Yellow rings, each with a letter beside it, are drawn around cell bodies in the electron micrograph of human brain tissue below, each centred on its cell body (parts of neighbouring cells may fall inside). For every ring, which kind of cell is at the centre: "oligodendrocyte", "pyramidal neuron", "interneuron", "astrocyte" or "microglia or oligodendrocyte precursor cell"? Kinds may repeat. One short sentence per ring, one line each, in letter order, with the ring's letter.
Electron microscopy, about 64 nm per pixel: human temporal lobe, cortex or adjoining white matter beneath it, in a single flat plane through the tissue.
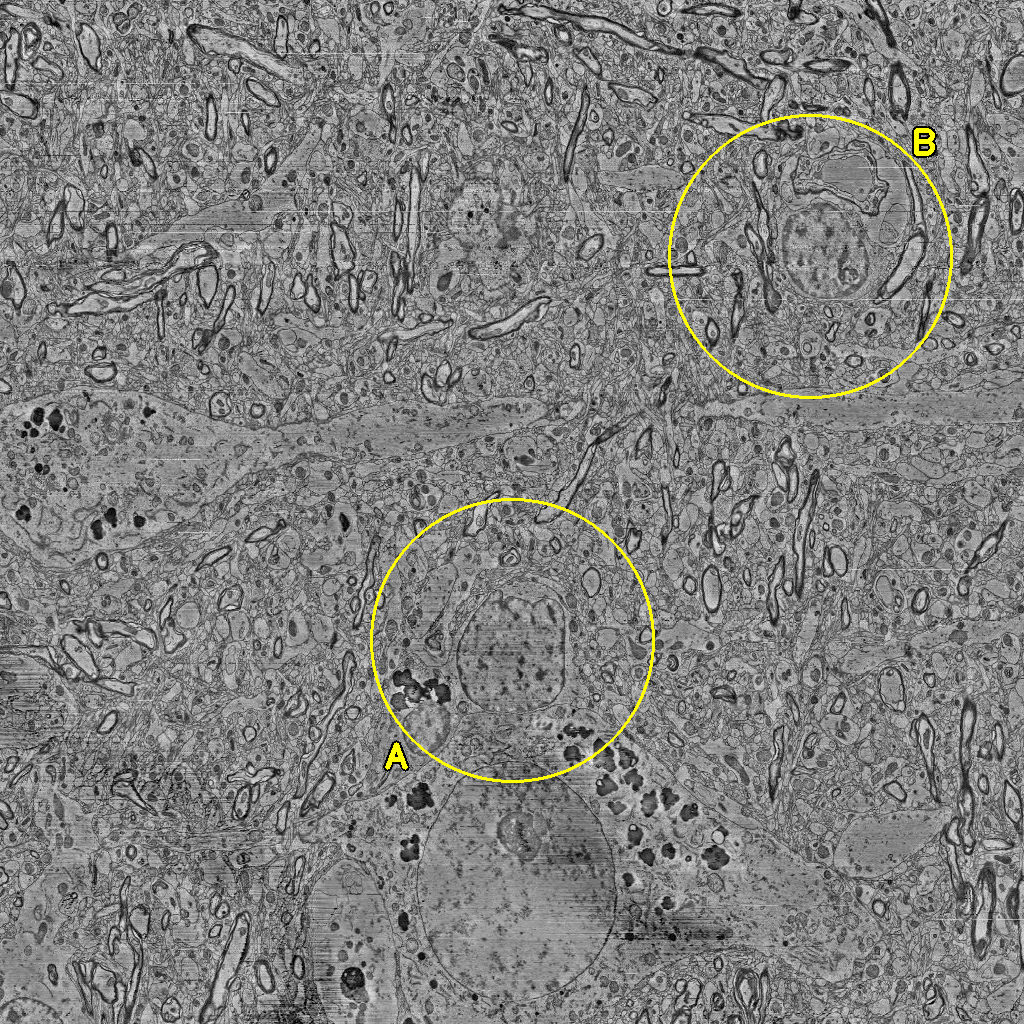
The cell in ring A is a microglial cell or oligodendrocyte precursor cell.
The cell in ring B is an oligodendrocyte.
